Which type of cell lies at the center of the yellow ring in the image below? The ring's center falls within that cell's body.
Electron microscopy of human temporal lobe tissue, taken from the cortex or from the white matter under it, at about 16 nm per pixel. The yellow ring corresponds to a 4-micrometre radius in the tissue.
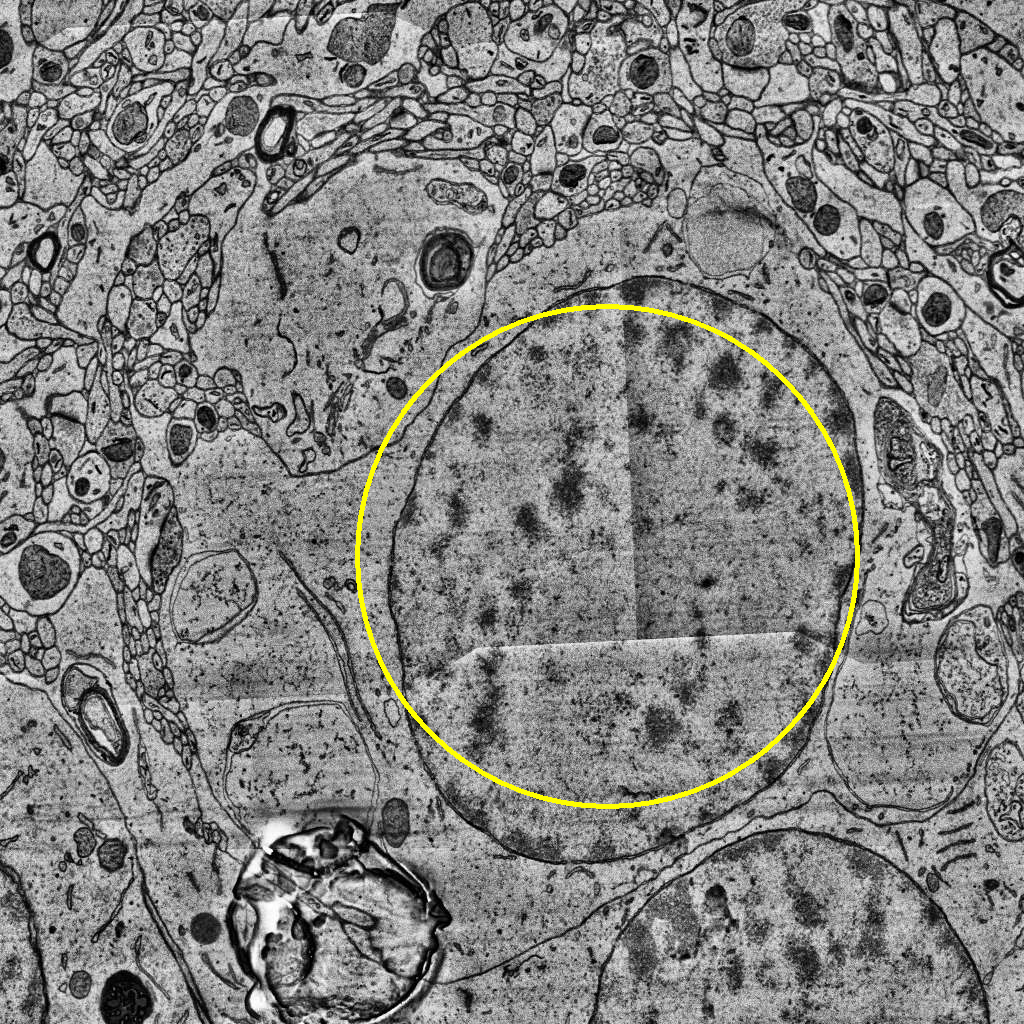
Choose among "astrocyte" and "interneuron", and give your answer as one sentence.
The cell body at the center belongs to an astrocyte.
